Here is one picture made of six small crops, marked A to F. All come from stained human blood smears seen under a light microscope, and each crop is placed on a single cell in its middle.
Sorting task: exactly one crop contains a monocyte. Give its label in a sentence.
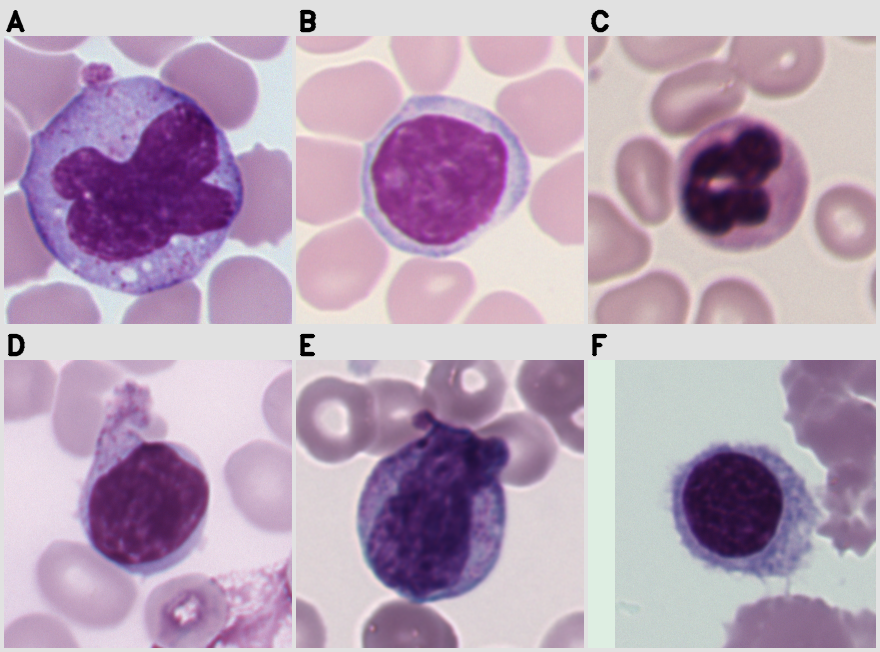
The crop marked A is the one in which a monocyte is shown.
